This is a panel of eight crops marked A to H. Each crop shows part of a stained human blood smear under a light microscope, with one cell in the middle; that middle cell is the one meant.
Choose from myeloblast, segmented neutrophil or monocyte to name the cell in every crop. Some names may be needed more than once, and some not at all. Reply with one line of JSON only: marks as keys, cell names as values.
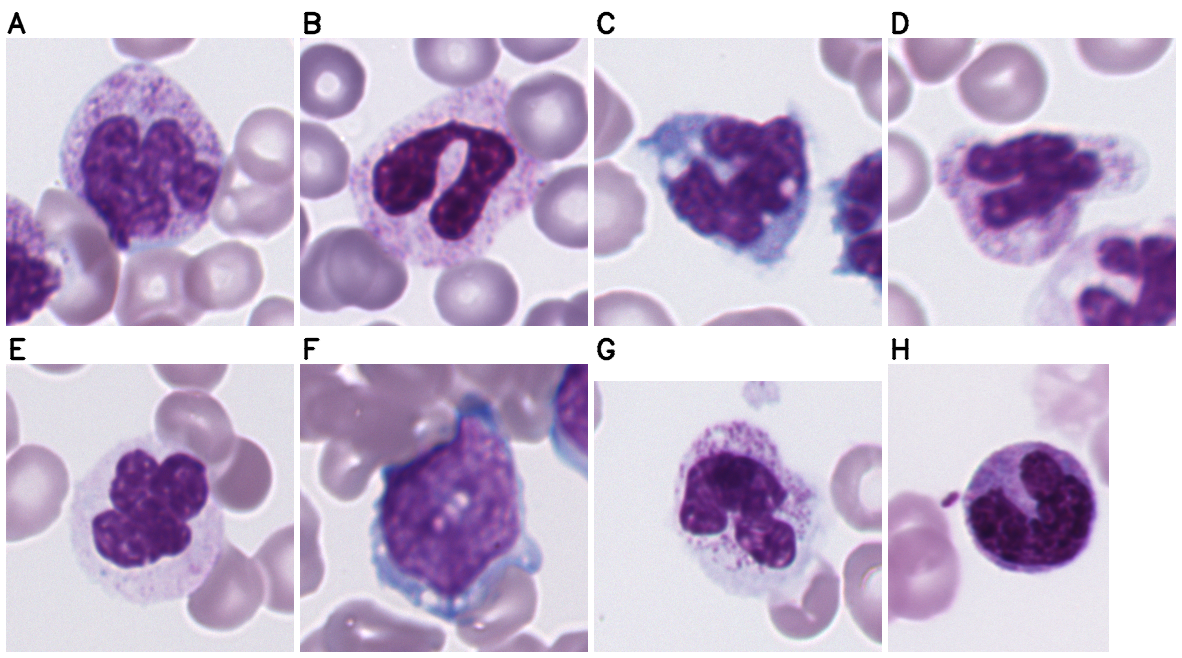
{"A": "segmented neutrophil", "B": "segmented neutrophil", "C": "monocyte", "D": "segmented neutrophil", "E": "segmented neutrophil", "F": "myeloblast", "G": "segmented neutrophil", "H": "monocyte"}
